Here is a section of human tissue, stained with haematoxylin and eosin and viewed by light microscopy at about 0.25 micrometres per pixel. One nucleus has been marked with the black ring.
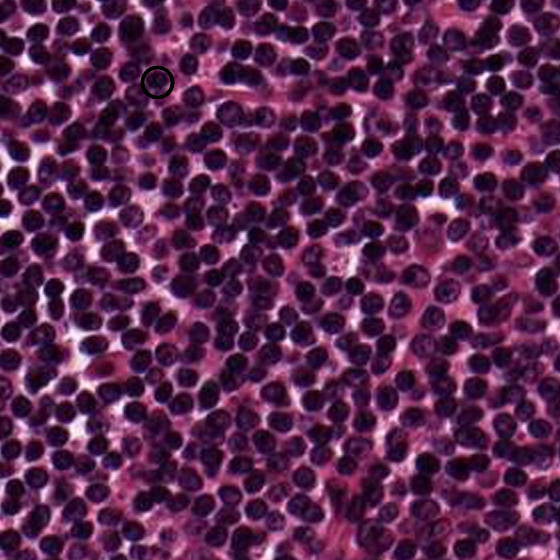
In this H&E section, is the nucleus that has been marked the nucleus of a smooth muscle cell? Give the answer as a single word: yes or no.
no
